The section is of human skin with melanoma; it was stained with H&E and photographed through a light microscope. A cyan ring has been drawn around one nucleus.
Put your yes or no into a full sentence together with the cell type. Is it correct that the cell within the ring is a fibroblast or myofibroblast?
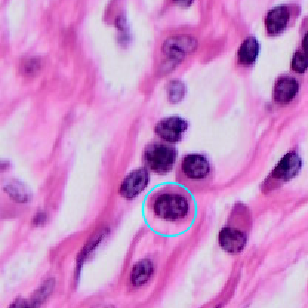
No, the cell within the ring isn't a fibroblast or myofibroblast; it is a plasma cell.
